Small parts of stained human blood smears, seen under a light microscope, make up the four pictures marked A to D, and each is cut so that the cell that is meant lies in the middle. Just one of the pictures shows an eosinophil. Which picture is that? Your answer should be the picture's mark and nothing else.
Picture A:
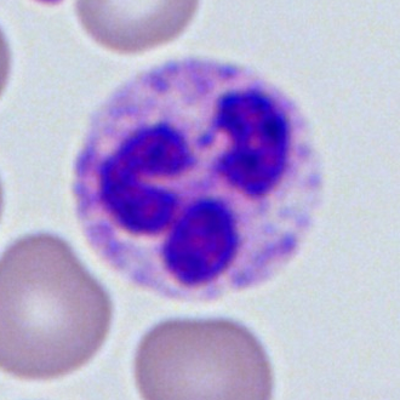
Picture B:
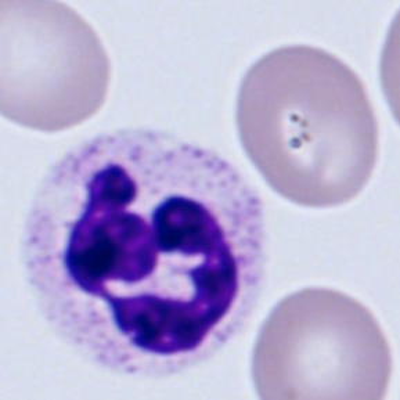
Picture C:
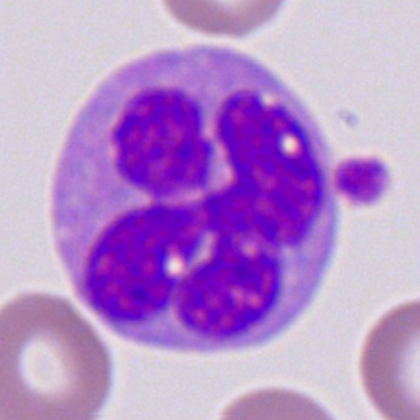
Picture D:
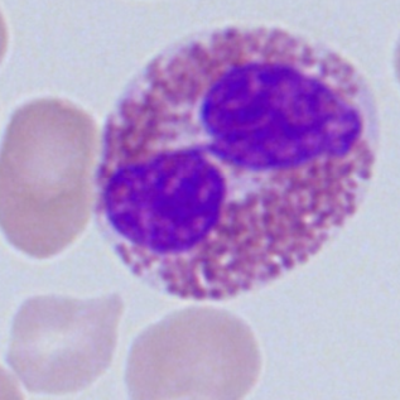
D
